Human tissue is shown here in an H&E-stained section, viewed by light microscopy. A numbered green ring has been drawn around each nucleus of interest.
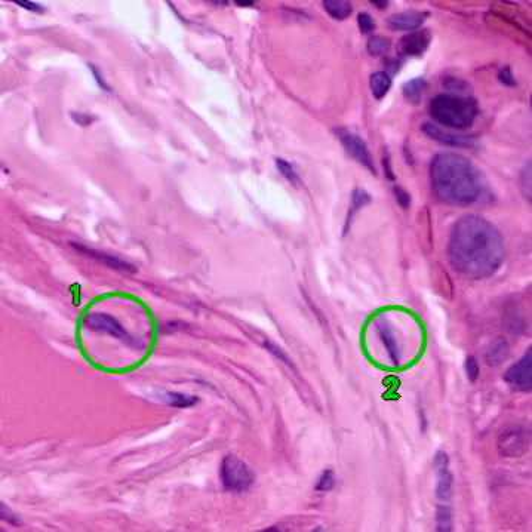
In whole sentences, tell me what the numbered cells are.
Cell 1 is a smooth muscle cell or pericyte. Cell 2 is a fibroblast.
